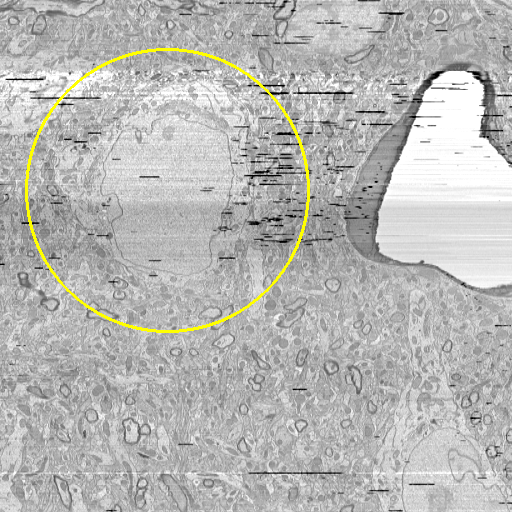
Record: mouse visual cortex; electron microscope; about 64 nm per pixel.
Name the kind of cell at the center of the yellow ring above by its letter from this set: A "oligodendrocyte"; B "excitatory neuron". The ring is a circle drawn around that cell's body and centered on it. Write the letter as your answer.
B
